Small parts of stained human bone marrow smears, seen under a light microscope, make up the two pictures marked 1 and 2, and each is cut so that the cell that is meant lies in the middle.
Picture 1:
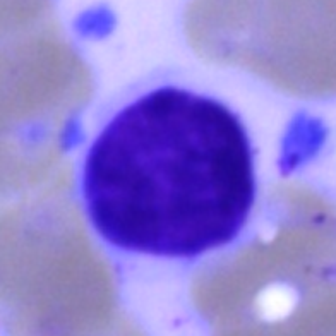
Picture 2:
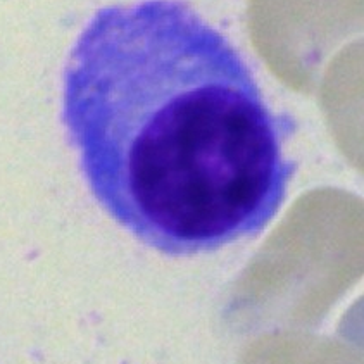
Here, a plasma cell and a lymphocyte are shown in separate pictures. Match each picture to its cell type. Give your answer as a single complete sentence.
In picture 1 the cell is a lymphocyte; in picture 2, a plasma cell.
